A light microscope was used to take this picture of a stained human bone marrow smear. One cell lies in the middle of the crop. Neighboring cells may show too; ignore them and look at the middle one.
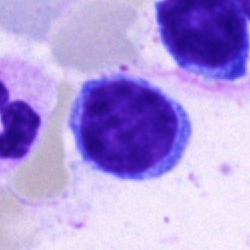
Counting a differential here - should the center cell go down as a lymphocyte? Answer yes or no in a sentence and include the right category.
Yes, the cell at the crop's center is a lymphocyte.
